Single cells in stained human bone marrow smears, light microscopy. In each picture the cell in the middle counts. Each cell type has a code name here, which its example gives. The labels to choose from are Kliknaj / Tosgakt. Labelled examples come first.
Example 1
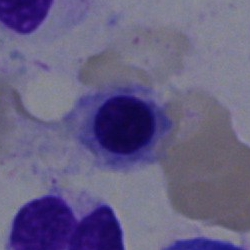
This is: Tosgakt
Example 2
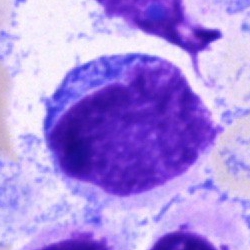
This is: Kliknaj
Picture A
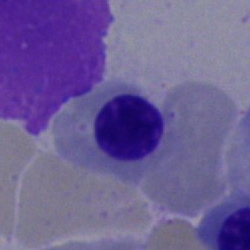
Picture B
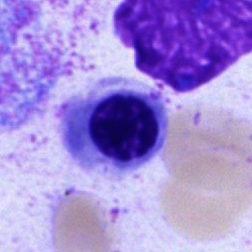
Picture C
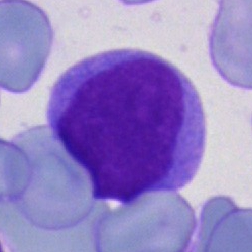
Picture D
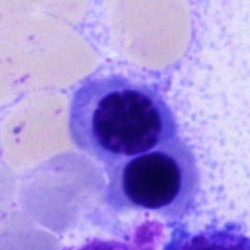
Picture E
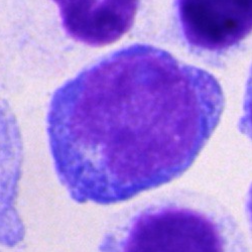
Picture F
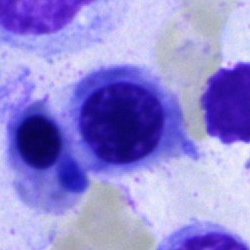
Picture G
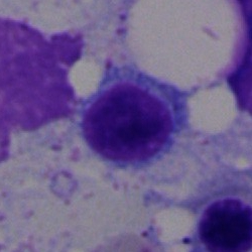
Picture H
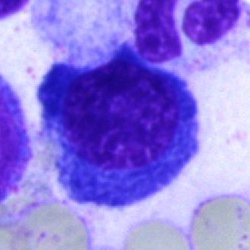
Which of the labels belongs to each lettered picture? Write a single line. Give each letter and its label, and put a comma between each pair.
A Tosgakt, B Tosgakt, C Kliknaj, D Tosgakt, E Kliknaj, F Tosgakt, G Tosgakt, H Tosgakt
